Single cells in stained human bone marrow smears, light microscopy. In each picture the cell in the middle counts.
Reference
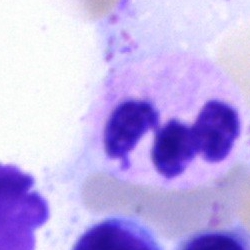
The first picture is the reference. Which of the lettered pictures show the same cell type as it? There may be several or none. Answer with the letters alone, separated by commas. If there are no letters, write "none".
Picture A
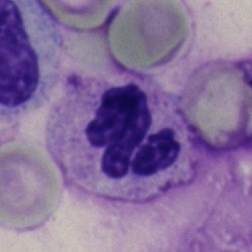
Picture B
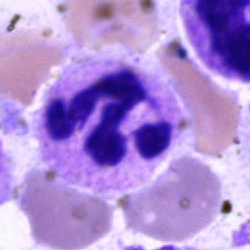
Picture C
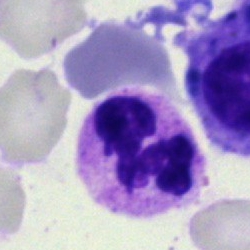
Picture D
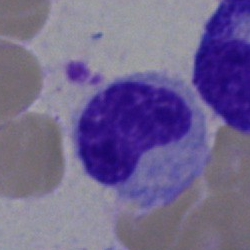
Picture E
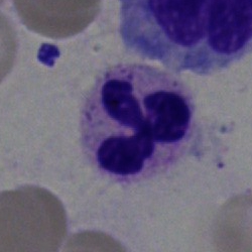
A, B, C, E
